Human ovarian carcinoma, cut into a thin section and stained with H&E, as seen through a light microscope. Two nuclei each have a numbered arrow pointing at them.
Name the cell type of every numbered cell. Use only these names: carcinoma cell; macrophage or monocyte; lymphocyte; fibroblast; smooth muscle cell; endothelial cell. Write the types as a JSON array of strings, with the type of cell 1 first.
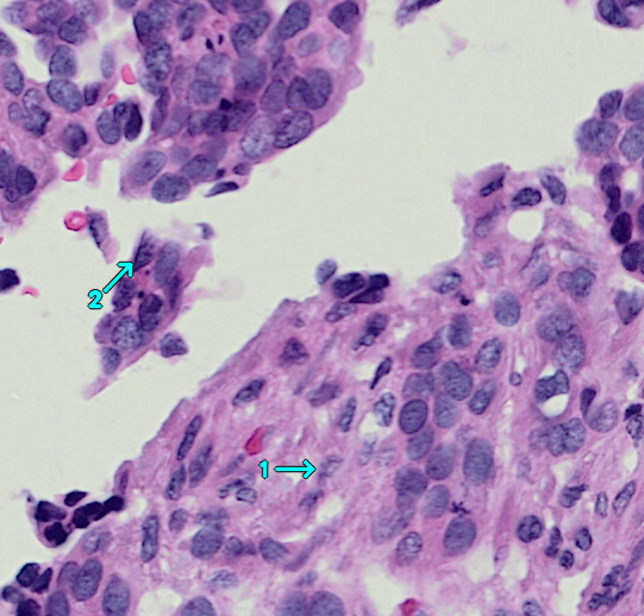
["fibroblast", "carcinoma cell"]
